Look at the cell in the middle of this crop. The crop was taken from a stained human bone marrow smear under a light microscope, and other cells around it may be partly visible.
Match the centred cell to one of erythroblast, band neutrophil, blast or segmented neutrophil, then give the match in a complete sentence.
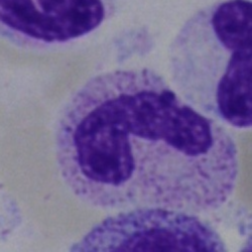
The cell at the middle of the crop is recognized as a segmented neutrophil.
